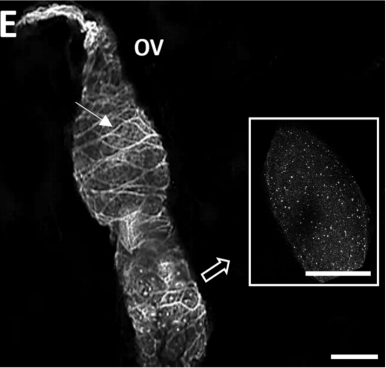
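Ovariole of an insect, elongate and divided into successive rounded follicles. Bright thin muscle fibers encircle its surface and cross one another in a criss-cross meshwork. An inset shows a single oval follicle with fine bright dots scattered over a dim background.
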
